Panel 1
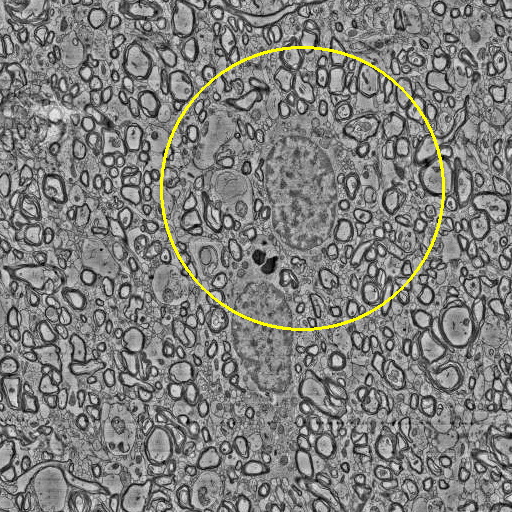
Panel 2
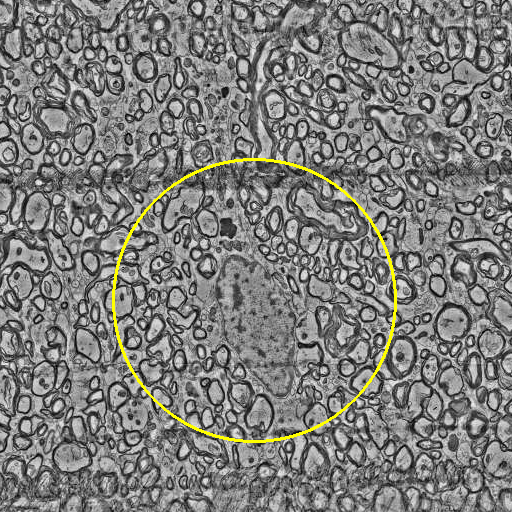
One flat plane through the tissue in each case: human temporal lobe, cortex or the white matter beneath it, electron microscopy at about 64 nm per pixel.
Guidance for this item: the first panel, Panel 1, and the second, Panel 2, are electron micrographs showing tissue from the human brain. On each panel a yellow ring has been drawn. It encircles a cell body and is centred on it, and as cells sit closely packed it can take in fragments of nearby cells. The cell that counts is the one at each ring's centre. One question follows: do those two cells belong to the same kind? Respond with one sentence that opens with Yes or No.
No, the cells at the ring centres in Panel 1 and Panel 2 are of two kinds.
